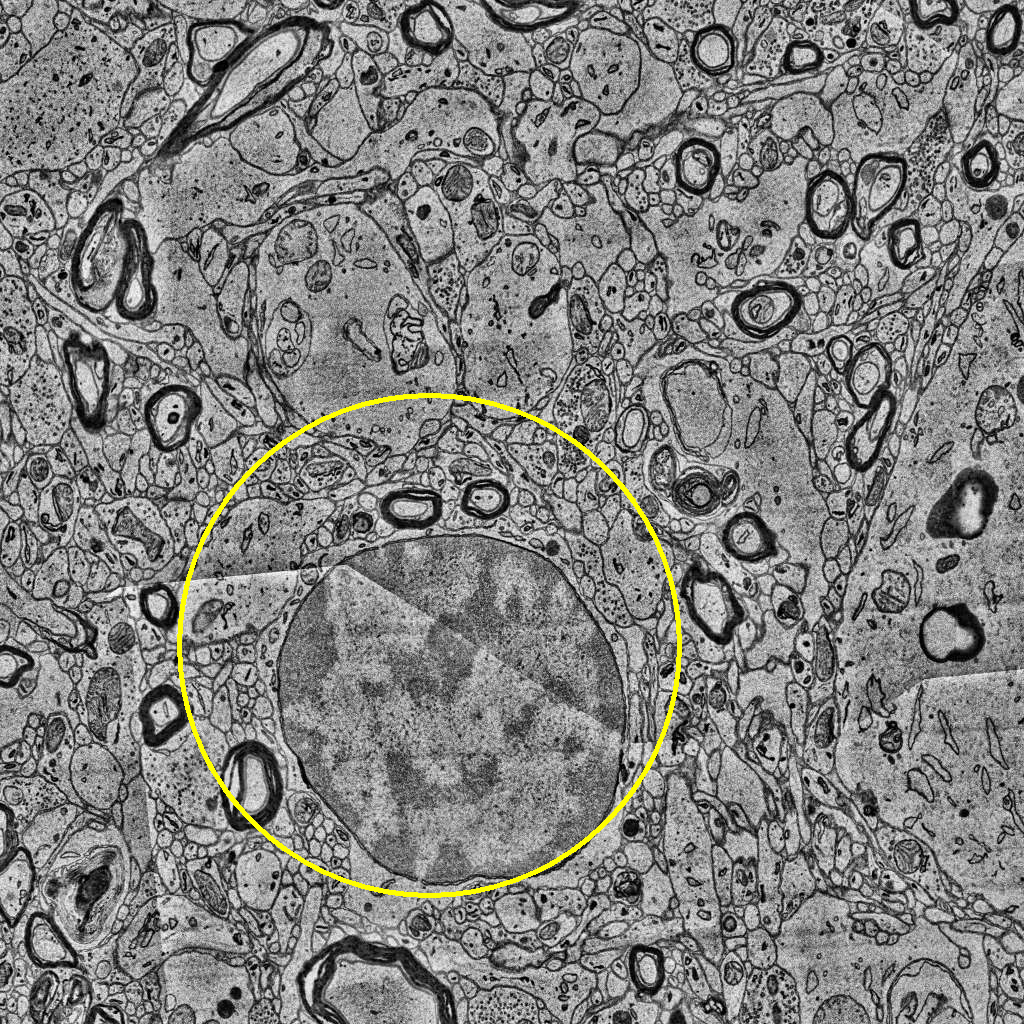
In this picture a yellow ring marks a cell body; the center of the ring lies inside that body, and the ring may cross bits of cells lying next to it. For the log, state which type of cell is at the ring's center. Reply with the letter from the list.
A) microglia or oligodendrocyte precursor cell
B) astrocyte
A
